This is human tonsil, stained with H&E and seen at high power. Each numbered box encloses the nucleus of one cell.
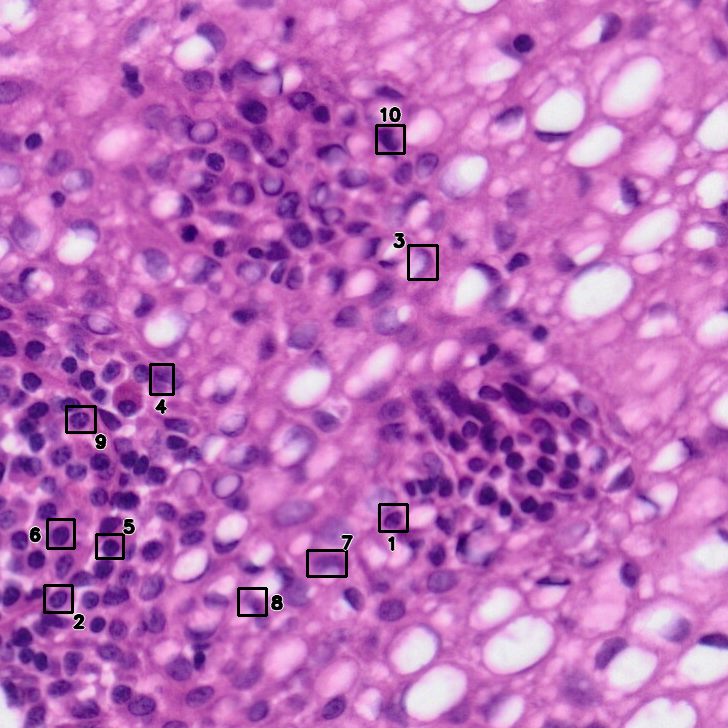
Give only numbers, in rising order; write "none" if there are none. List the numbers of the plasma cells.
2, 5, 6, 9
